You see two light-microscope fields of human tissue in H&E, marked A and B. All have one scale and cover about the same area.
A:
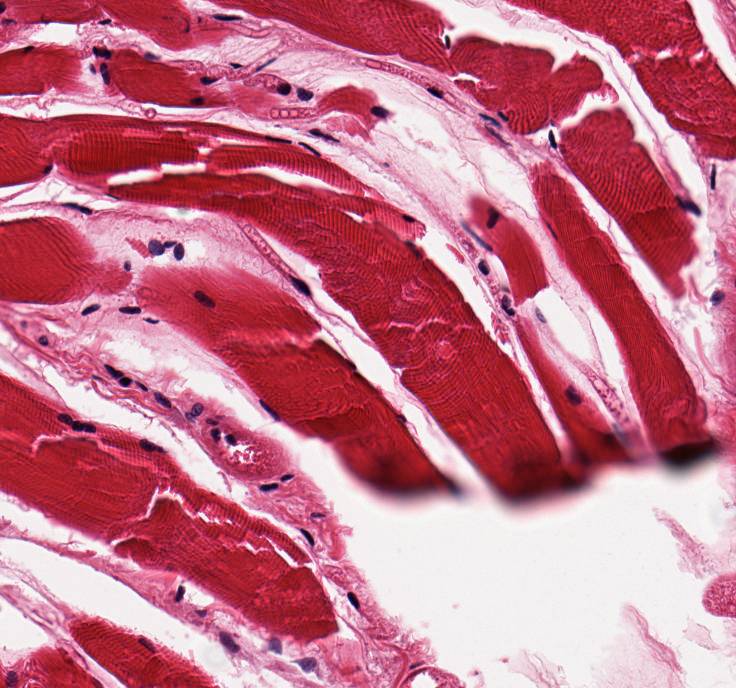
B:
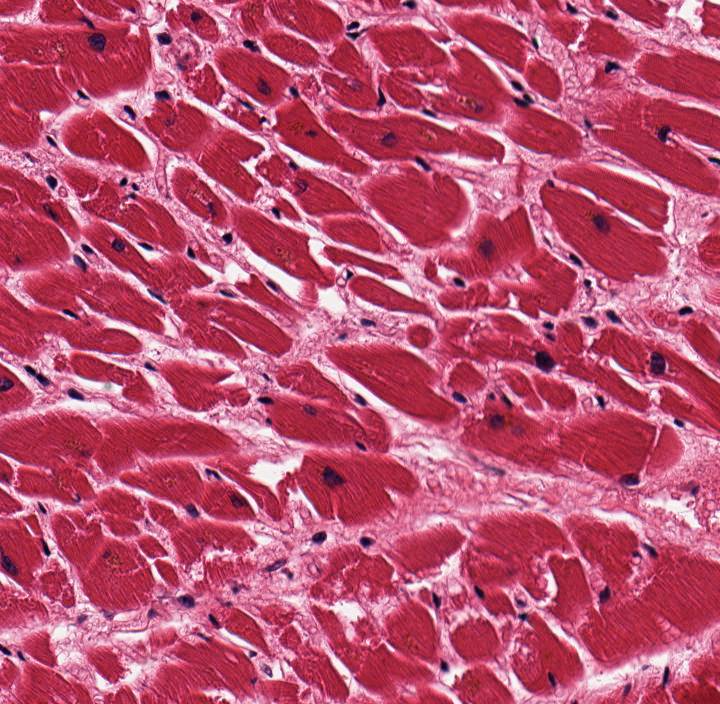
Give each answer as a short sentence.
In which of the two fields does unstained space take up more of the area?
More of picture A is empty and white.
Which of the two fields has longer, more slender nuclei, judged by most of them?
It is picture A whose nuclei are the more elongated.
